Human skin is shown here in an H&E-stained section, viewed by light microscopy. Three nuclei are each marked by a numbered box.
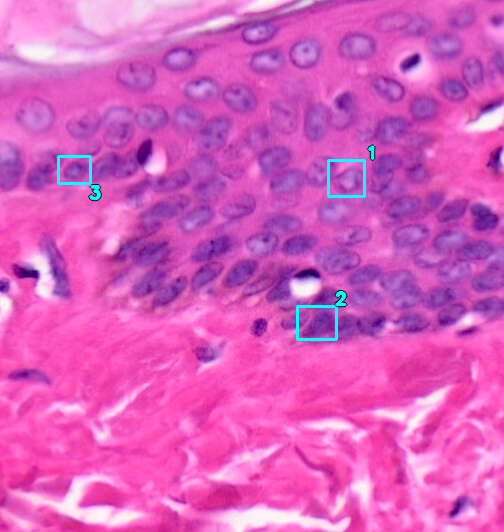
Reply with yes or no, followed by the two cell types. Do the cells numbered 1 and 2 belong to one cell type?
No, cell 1 is a suprabasal keratinocyte and cell 2 is a basal keratinocyte.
